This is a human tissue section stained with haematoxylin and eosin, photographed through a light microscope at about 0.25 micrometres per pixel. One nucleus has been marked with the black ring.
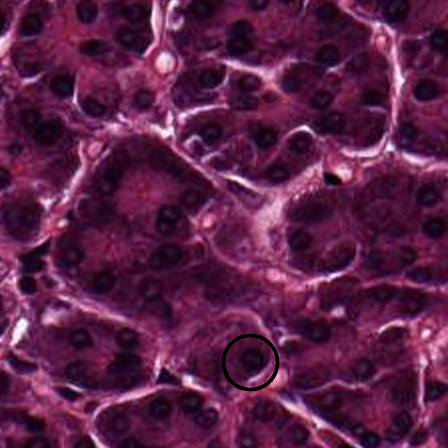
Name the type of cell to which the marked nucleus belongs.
pancreatic acinar cell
